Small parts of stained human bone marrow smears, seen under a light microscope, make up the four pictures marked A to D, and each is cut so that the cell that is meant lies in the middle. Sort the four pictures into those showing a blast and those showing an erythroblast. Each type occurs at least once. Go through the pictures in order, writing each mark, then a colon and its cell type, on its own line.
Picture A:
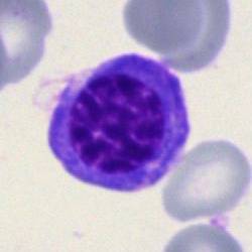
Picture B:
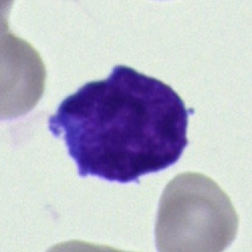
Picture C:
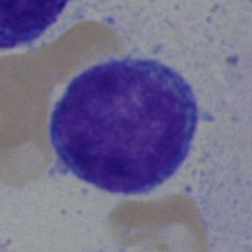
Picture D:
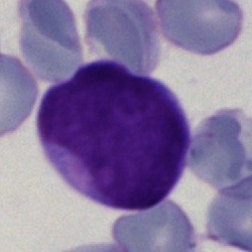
A: erythroblast
B: blast
C: blast
D: blast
